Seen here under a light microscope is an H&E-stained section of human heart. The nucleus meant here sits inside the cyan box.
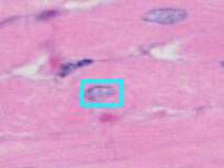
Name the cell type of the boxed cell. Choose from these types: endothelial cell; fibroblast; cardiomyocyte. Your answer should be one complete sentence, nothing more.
In this tissue sample, the boxed cell is a cardiomyocyte.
